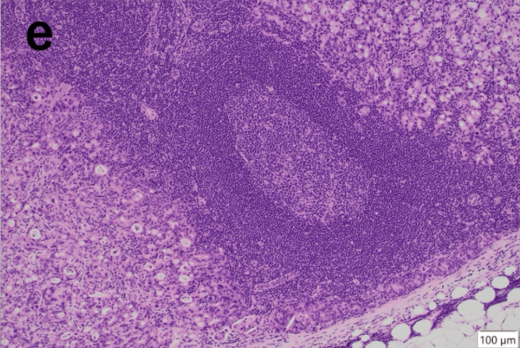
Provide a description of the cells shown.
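This is a lymph node taken over by metastatic adenocarcinoma. A curving band of densely packed, small, dark-nucleated lymphocytes, the remaining nodal tissue, runs across the field. Around it lie sheets of larger tumor cells with pale to pink cytoplasm and enlarged nuclei; some form small round glandular lumina, others grow in solid sheets without glands, reflecting a mix of gland-forming and poorly differentiated tumor. In the lower right corner, clear fat cells of the perinodal tissue are visible under the capsule.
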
